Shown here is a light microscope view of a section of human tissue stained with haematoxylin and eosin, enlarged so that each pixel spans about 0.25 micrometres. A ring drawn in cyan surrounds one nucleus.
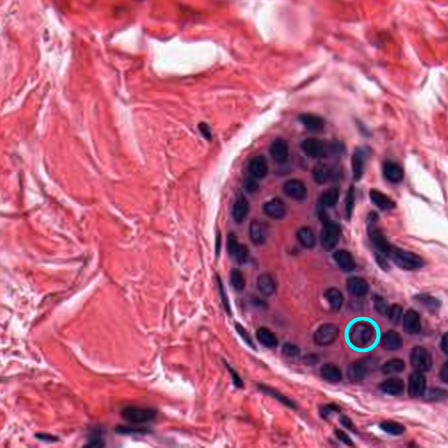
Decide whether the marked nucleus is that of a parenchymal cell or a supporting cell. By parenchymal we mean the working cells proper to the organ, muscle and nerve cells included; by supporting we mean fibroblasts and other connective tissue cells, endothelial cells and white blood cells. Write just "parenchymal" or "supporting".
parenchymal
